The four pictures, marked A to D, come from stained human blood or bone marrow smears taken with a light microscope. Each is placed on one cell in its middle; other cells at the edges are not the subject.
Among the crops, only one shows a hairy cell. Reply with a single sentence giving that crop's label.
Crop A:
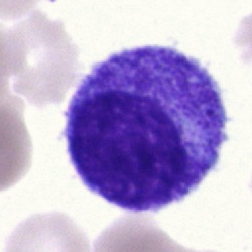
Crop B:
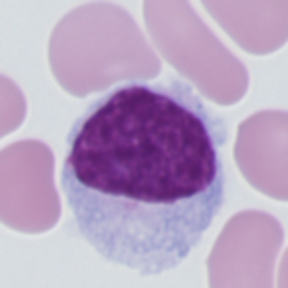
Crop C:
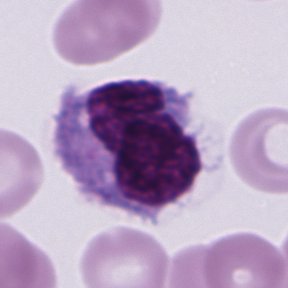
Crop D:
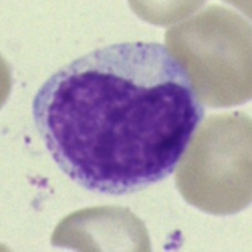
In the set of crops, crop B is the one that contains a hairy cell.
